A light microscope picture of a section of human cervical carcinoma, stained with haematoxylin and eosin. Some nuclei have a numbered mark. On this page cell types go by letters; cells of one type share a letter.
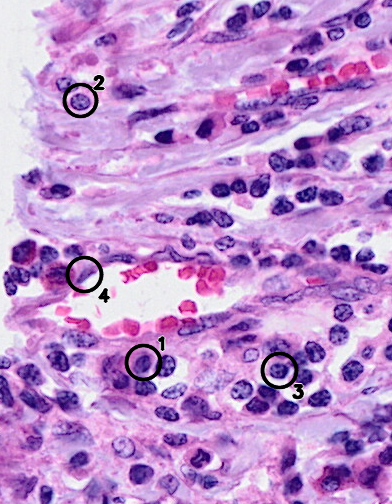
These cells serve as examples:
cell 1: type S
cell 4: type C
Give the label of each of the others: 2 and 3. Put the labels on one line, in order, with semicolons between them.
type S; type S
